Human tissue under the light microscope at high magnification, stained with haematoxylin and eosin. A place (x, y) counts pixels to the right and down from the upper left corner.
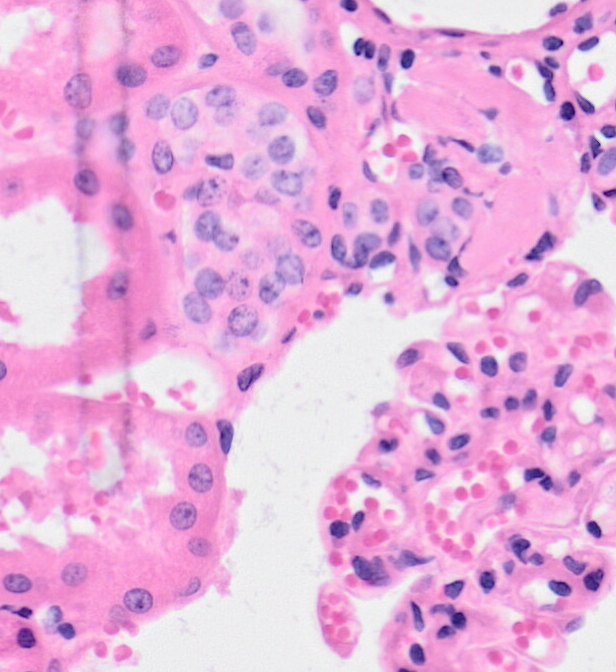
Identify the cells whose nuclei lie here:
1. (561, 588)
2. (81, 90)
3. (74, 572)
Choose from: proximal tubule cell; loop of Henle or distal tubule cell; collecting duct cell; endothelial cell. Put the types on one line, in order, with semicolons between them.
endothelial cell; proximal tubule cell; proximal tubule cell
